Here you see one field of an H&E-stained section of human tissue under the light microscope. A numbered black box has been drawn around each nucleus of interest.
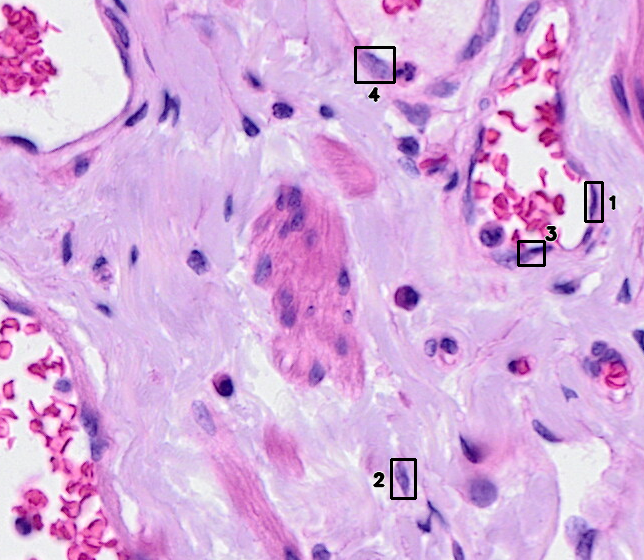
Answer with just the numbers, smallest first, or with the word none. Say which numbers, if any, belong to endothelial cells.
1, 3, 4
